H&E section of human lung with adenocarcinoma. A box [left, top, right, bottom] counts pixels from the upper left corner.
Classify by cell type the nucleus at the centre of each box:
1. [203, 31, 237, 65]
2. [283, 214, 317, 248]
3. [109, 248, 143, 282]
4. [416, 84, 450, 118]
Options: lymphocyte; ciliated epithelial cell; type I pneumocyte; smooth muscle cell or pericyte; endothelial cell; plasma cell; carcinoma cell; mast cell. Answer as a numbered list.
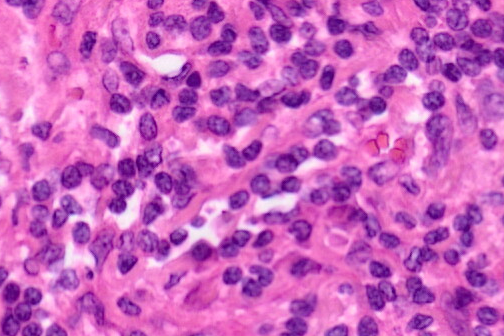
1. lymphocyte
2. plasma cell
3. lymphocyte
4. lymphocyte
